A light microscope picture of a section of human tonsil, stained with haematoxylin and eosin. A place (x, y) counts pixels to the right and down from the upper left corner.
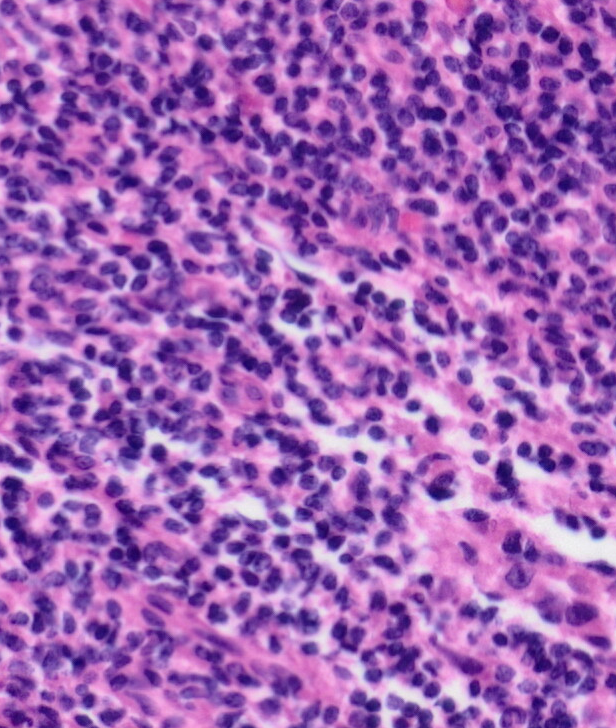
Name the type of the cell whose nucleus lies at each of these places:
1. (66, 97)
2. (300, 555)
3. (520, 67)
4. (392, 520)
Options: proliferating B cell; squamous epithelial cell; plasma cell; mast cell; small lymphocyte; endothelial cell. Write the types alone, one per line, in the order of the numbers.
small lymphocyte
small lymphocyte
small lymphocyte
proliferating B cell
